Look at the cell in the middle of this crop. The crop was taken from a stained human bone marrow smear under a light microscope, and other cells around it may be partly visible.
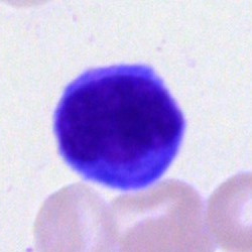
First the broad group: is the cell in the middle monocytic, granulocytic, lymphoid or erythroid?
monocytic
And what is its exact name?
monocyte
